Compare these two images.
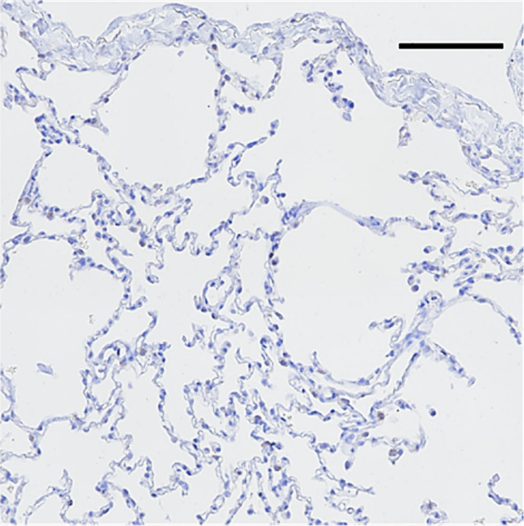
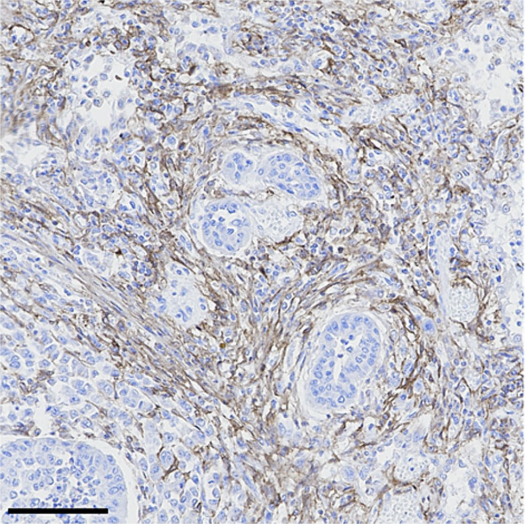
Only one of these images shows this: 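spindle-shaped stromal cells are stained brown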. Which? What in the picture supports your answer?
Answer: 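Second image: many elongated stromal cells around epithelial nests carry brown stain. That points to this answer: the second image.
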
